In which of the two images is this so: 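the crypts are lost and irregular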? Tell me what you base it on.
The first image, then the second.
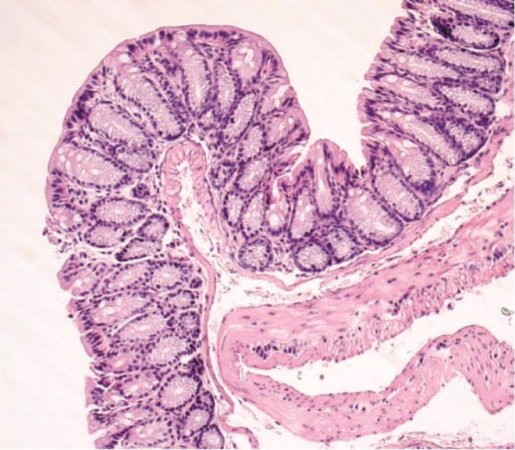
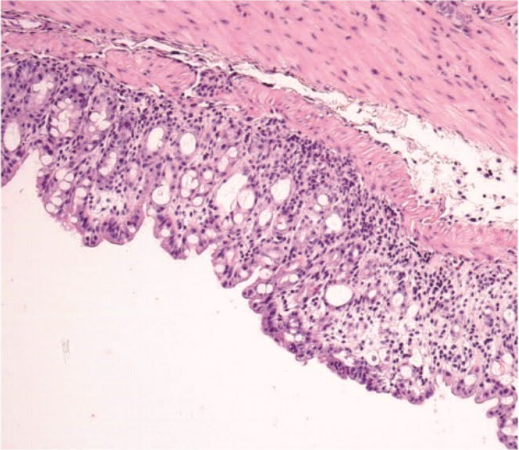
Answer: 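The second image. Second image: few distorted, unevenly sized crypts in a cell-crowded mucosa. First image: regularly spaced, straight tubular crypts fill the mucosa.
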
